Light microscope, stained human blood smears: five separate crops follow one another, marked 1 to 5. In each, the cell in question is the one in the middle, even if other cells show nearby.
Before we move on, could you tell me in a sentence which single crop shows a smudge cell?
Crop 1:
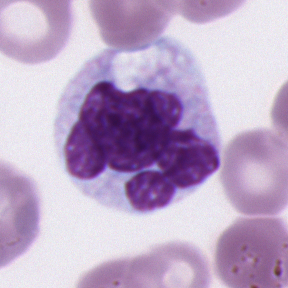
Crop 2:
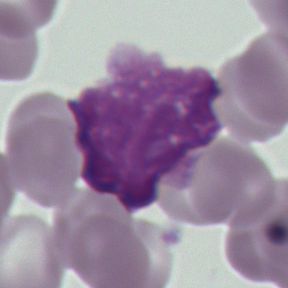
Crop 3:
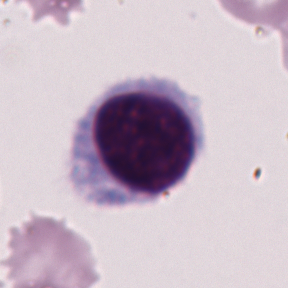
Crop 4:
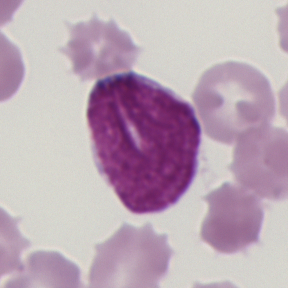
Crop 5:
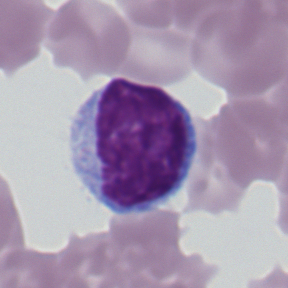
Crop 2 is where a smudge cell is shown.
